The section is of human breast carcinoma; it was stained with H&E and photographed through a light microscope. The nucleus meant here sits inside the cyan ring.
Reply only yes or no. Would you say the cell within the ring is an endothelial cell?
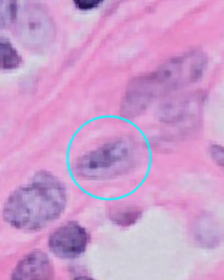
yes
